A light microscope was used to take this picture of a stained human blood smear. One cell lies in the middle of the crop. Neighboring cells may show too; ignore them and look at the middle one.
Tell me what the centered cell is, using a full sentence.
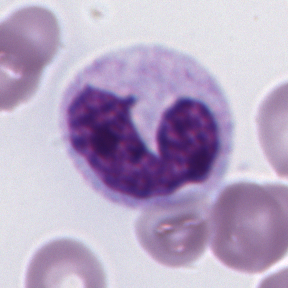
By type, the central cell of the crop is a band neutrophil.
